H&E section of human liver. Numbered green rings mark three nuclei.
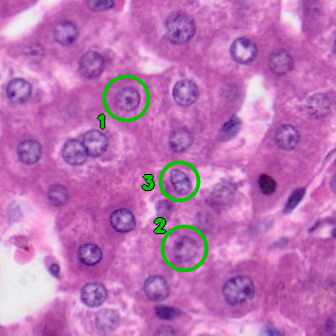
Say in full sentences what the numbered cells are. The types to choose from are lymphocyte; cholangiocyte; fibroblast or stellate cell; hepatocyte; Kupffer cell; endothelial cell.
Cell 1 is a hepatocyte, cell 2 is a hepatocyte and cell 3 is a cholangiocyte.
